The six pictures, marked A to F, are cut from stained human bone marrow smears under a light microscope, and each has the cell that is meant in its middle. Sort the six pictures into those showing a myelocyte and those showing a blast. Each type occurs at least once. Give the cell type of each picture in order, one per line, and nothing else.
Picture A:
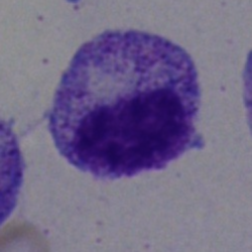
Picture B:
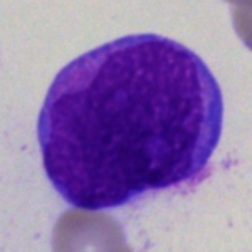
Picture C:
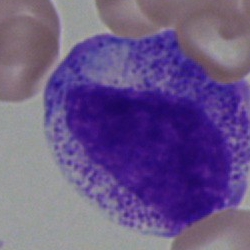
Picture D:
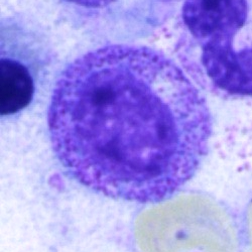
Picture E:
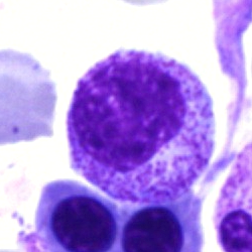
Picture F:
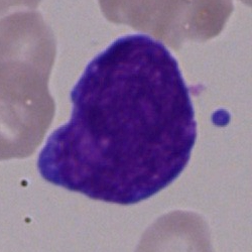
myelocyte
blast
myelocyte
myelocyte
myelocyte
blast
